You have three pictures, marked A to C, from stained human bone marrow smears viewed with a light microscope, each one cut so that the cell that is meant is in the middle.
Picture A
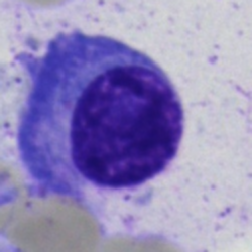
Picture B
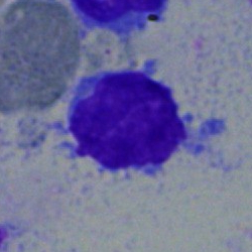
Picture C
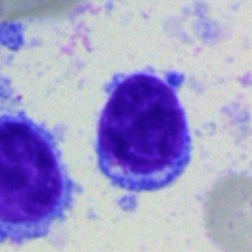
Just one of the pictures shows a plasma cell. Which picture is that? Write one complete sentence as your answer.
The cell in picture A is the plasma cell.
